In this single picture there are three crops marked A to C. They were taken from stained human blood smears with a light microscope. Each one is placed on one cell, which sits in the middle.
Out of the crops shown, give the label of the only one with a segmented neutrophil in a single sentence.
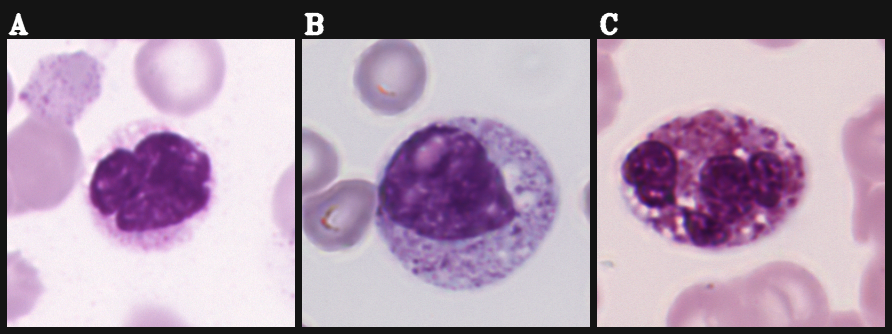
Crop A is the crop whose central cell is a segmented neutrophil.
